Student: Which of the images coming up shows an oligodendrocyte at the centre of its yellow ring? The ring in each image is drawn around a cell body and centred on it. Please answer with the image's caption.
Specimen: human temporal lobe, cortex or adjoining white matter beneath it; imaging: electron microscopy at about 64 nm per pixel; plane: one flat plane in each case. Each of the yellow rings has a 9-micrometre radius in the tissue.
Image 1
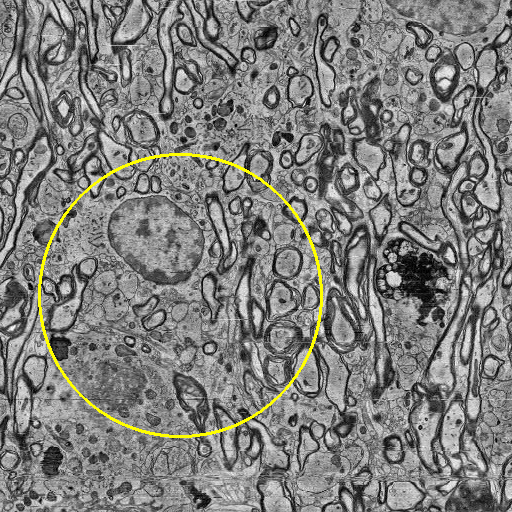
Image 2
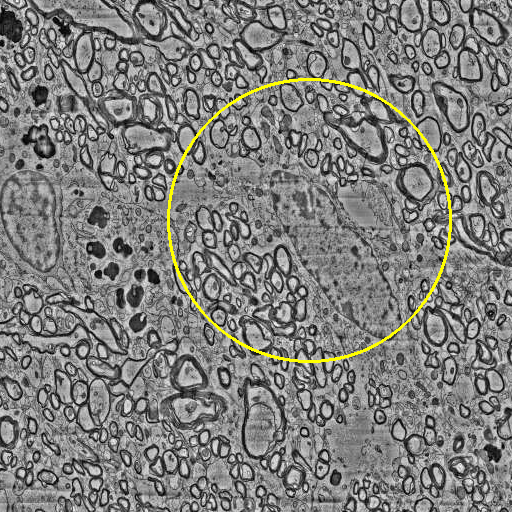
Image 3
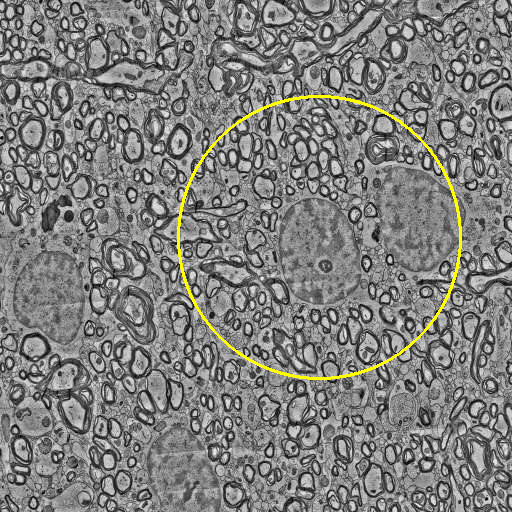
Image 3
